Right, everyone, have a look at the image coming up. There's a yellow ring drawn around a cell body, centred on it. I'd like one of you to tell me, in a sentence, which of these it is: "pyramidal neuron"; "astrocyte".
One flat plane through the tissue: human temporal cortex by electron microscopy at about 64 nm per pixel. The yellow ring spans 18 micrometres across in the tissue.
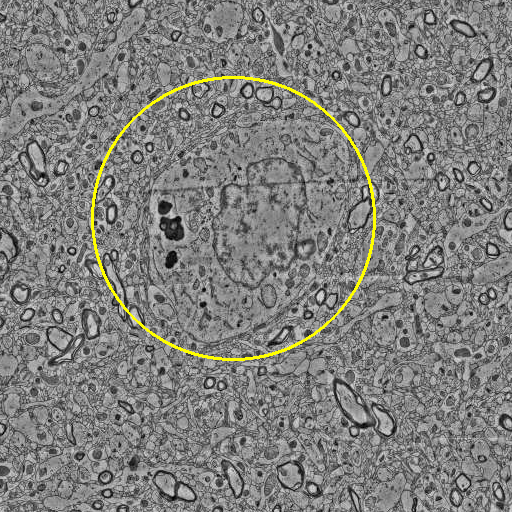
The yellow ring sits on a pyramidal neuron.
